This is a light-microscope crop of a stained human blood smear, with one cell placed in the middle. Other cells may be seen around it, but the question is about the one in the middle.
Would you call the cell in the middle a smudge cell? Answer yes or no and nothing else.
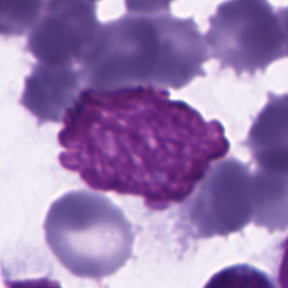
yes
